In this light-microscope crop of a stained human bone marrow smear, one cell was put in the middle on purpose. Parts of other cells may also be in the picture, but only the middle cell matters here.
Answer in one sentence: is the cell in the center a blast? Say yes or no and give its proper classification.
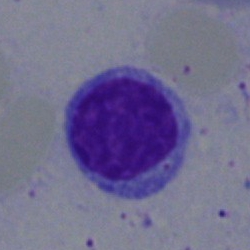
No, it is a lymphocyte, not a blast, that lies at the centre of the crop.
